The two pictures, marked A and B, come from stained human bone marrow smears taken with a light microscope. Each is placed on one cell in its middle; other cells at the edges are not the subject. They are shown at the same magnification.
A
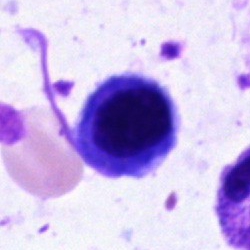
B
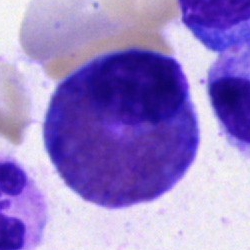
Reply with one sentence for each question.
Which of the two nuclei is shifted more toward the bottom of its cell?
The nucleus in picture A lies further toward the bottom of its cell.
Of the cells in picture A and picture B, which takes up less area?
It is the cell in picture A; the cell in picture B has about 2.5 times its area.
